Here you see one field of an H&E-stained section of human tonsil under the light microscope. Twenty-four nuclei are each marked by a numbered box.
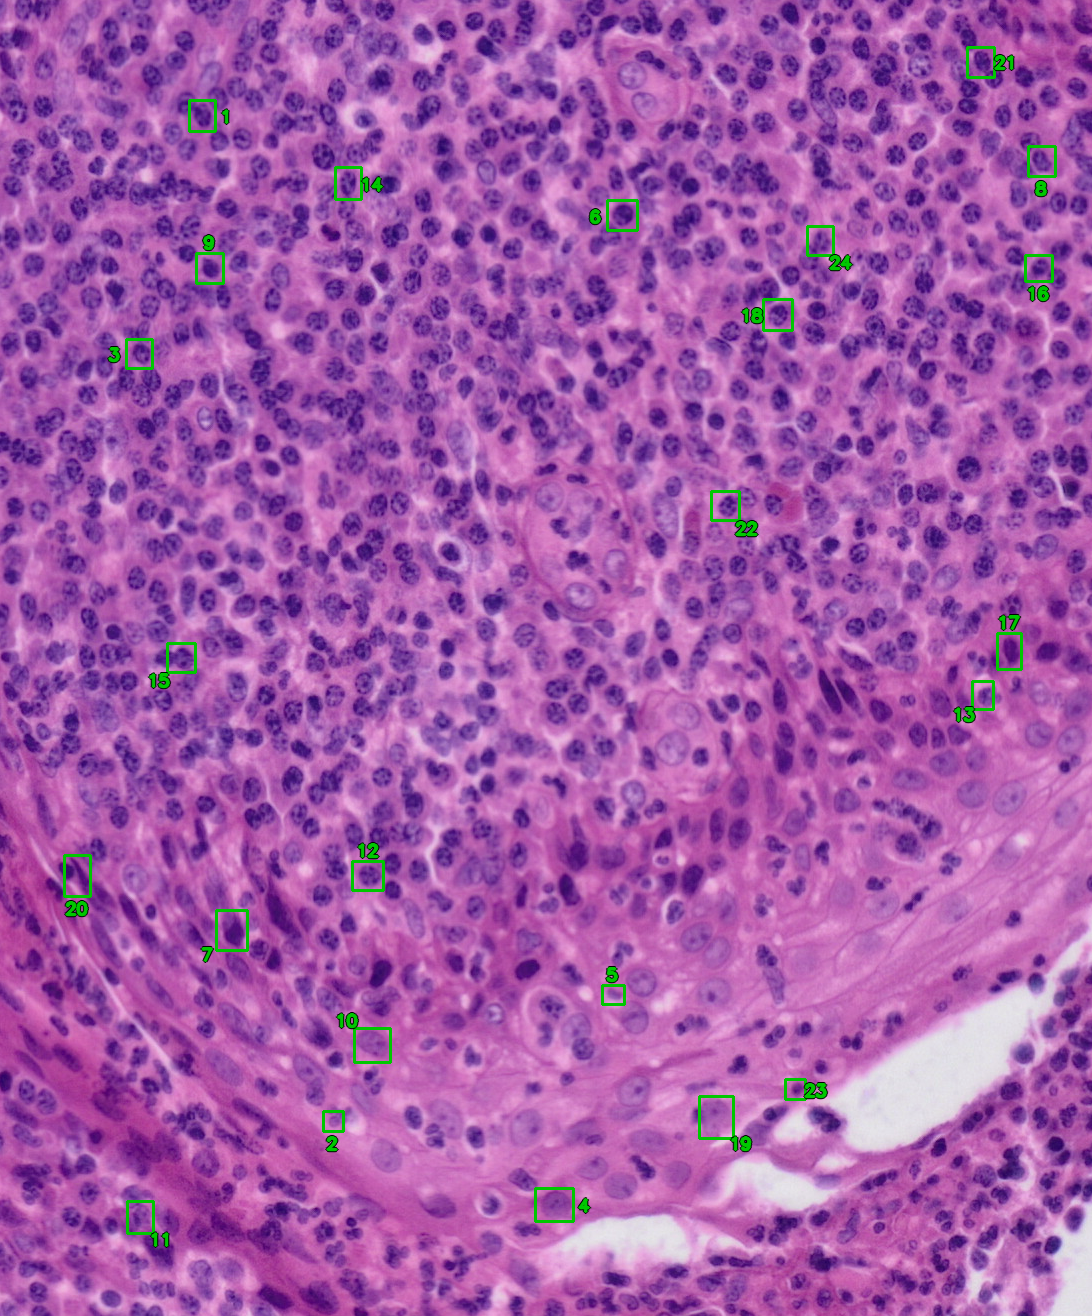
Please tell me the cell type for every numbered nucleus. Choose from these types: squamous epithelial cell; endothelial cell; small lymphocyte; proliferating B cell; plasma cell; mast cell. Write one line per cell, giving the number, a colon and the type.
1: plasma cell
2: squamous epithelial cell
3: plasma cell
4: squamous epithelial cell
5: squamous epithelial cell
6: plasma cell
7: squamous epithelial cell
8: plasma cell
9: plasma cell
10: squamous epithelial cell
11: squamous epithelial cell
12: plasma cell
13: squamous epithelial cell
14: plasma cell
15: plasma cell
16: plasma cell
17: squamous epithelial cell
18: plasma cell
19: squamous epithelial cell
20: squamous epithelial cell
21: plasma cell
22: plasma cell
23: squamous epithelial cell
24: plasma cell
